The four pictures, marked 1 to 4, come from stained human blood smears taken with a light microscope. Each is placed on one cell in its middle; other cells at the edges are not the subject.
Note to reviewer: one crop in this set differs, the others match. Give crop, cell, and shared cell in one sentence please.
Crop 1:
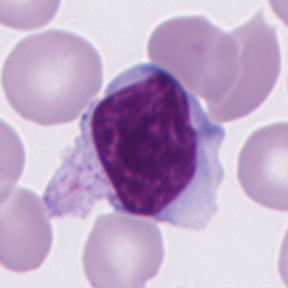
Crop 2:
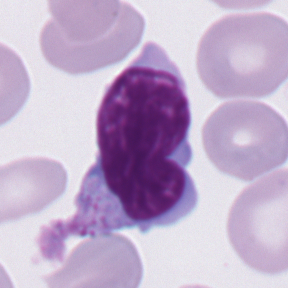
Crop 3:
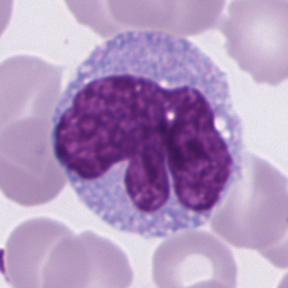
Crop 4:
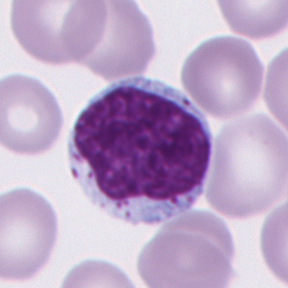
The set is made up of large granular lymphocytes, with the single exception of crop 3, which is a monocyte.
